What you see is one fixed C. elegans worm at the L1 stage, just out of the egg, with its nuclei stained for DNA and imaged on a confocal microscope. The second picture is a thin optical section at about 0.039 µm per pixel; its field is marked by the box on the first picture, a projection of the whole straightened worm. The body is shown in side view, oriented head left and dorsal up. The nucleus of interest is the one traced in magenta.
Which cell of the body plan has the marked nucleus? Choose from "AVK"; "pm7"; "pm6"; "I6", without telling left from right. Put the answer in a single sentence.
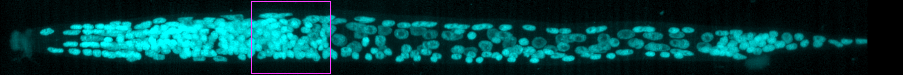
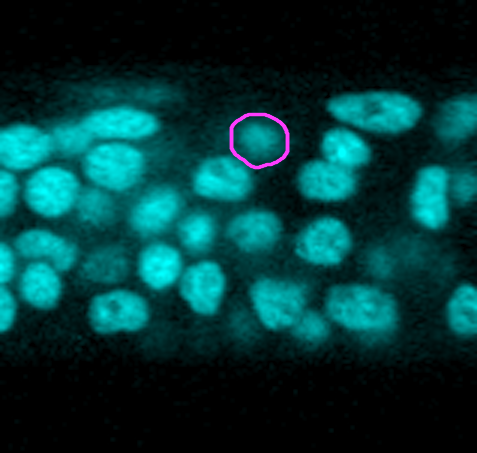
The marked nucleus belongs to I6, a neuron.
